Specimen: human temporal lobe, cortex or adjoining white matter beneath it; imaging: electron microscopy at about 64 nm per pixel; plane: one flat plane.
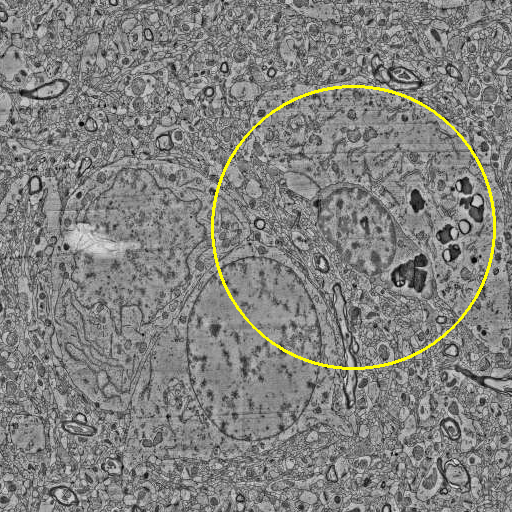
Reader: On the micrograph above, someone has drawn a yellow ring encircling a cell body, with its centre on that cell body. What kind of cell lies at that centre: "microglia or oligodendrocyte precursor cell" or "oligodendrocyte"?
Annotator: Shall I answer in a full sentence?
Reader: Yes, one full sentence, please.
Here an oligodendrocyte sits at the centre of the yellow ring drawn on the micrograph.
